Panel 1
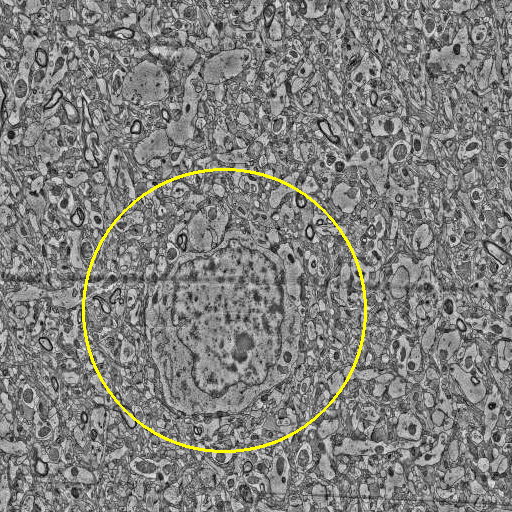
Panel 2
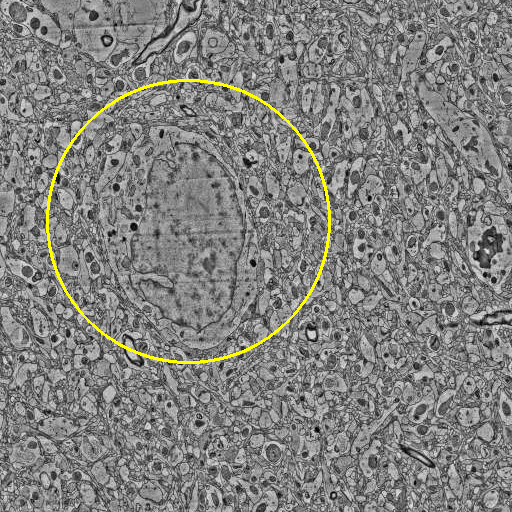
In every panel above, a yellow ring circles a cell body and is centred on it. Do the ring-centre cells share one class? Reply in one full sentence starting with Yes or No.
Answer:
Yes, the two cells at the ring centres in the panels belong to one class.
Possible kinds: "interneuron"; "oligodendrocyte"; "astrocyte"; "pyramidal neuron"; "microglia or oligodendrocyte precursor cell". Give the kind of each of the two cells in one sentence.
Both pictures show an interneuron at the centre of the ring.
